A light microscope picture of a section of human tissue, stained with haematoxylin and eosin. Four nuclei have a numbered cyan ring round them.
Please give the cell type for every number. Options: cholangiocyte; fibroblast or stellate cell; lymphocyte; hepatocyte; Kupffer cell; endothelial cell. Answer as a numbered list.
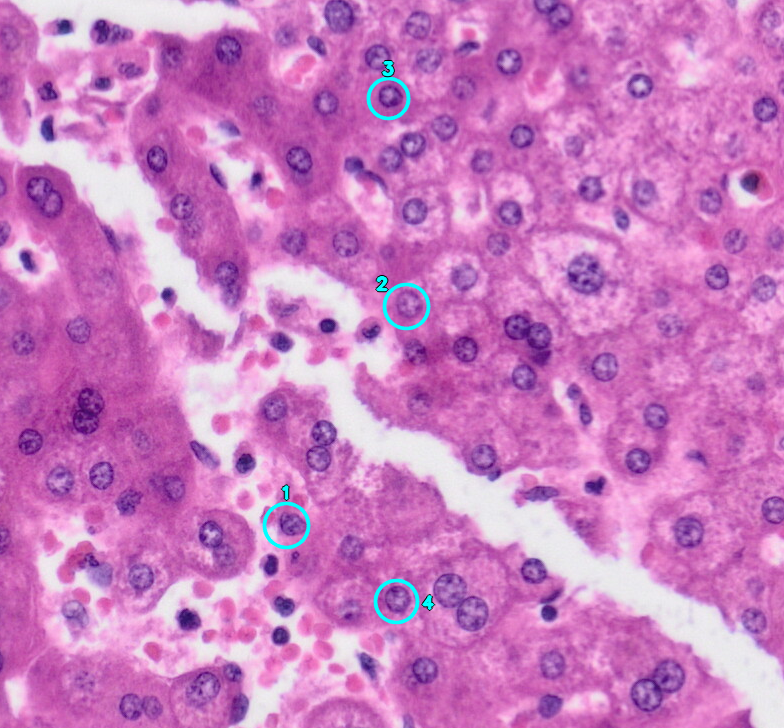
1. Kupffer cell
2. hepatocyte
3. hepatocyte
4. hepatocyte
